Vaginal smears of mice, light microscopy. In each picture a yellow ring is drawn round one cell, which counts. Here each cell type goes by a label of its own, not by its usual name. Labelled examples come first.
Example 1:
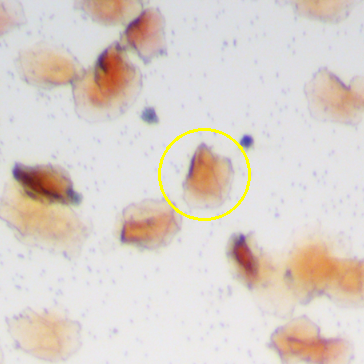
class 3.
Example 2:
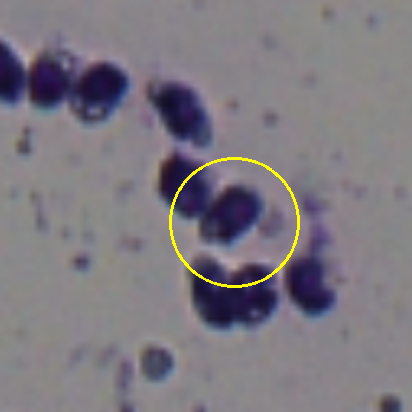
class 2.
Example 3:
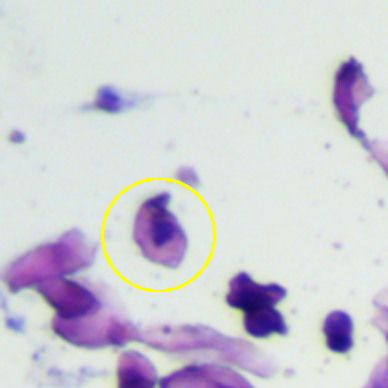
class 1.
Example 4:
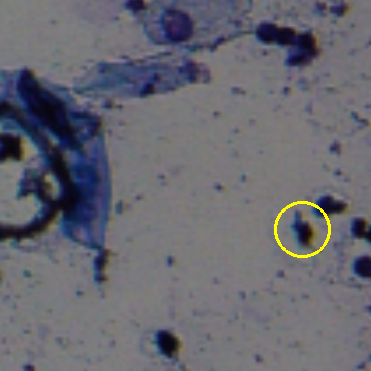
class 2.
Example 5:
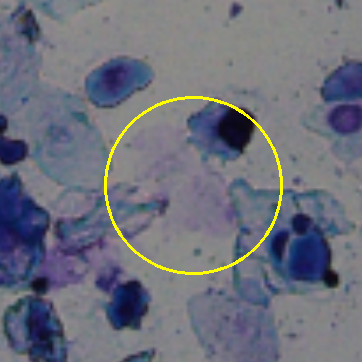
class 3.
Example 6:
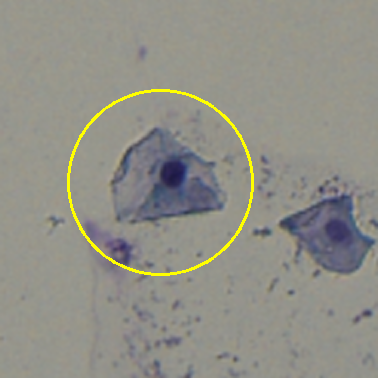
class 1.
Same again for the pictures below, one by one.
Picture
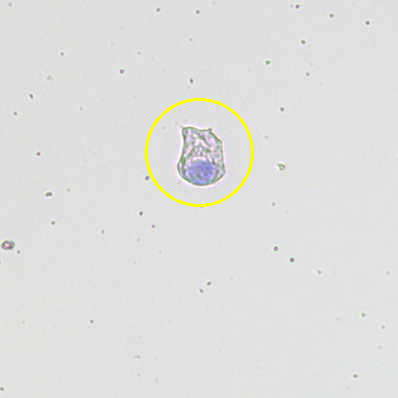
class 1.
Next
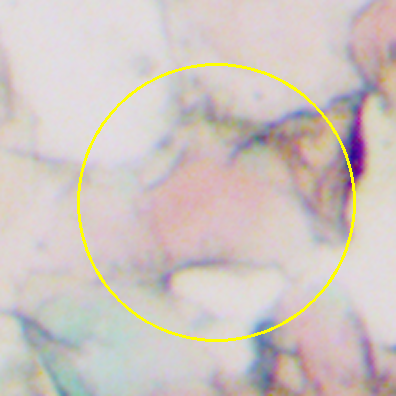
class 3.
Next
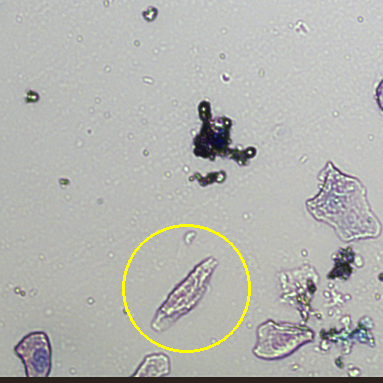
class 3.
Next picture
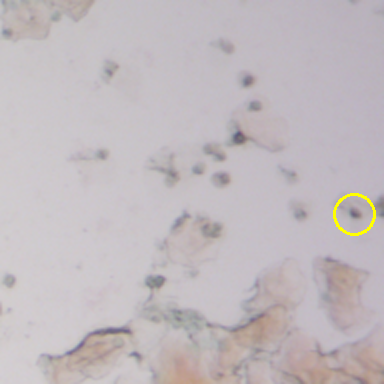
class 2.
